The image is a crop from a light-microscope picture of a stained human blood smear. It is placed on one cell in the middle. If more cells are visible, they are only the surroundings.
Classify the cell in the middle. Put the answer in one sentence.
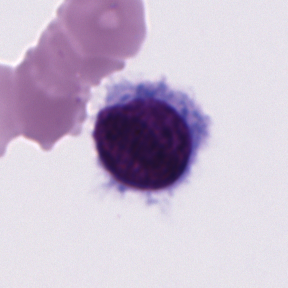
The central cell, amid any neighbouring cells, is a hairy cell.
